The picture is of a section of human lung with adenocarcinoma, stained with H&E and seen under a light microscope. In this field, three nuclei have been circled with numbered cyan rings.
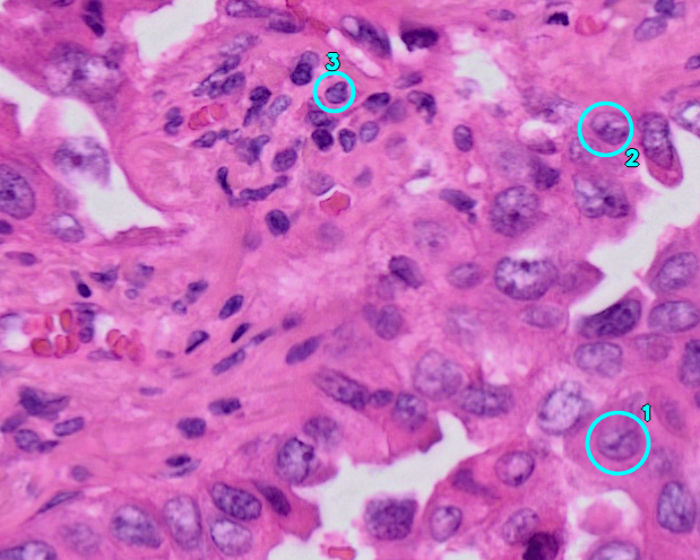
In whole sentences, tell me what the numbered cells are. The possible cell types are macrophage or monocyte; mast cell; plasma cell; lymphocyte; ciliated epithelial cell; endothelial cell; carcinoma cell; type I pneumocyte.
Cells 1 and 2 are carcinoma cells. Cell 3 is a lymphocyte.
